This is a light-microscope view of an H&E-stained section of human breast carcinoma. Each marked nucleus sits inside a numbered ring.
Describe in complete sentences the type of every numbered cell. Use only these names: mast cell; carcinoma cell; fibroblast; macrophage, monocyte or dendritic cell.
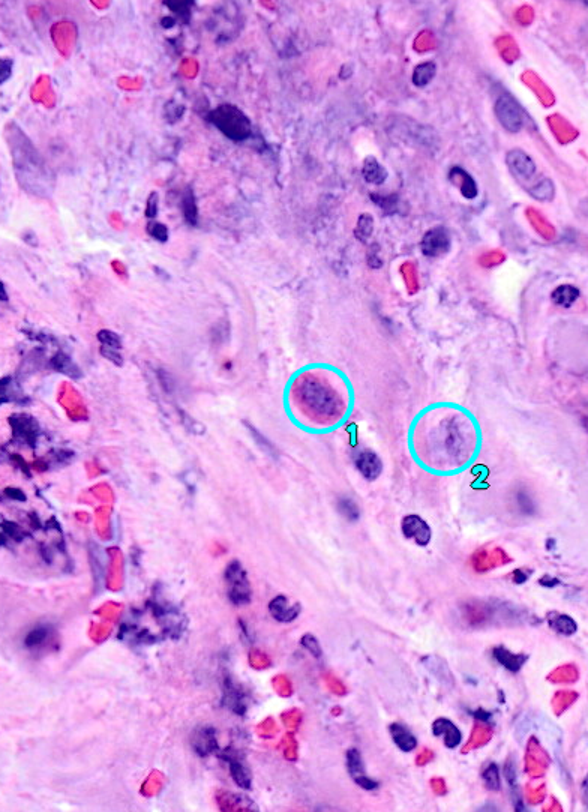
Cell 1 is a mast cell. Cell 2 is a fibroblast.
